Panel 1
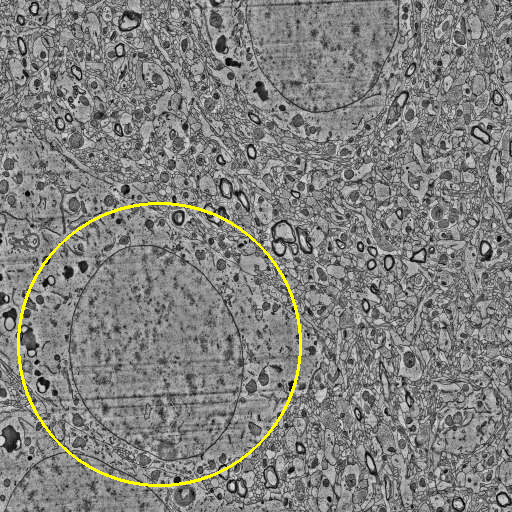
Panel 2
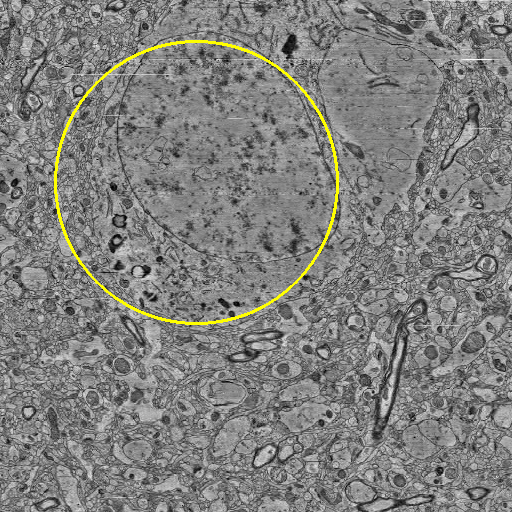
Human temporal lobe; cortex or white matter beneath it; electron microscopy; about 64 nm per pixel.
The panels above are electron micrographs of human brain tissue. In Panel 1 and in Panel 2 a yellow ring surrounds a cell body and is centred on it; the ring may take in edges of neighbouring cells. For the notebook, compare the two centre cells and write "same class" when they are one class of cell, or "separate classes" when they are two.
same class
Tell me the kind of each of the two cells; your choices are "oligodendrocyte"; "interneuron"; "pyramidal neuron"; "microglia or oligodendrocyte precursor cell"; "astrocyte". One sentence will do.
Each cell at the centre of a ring is a pyramidal neuron.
